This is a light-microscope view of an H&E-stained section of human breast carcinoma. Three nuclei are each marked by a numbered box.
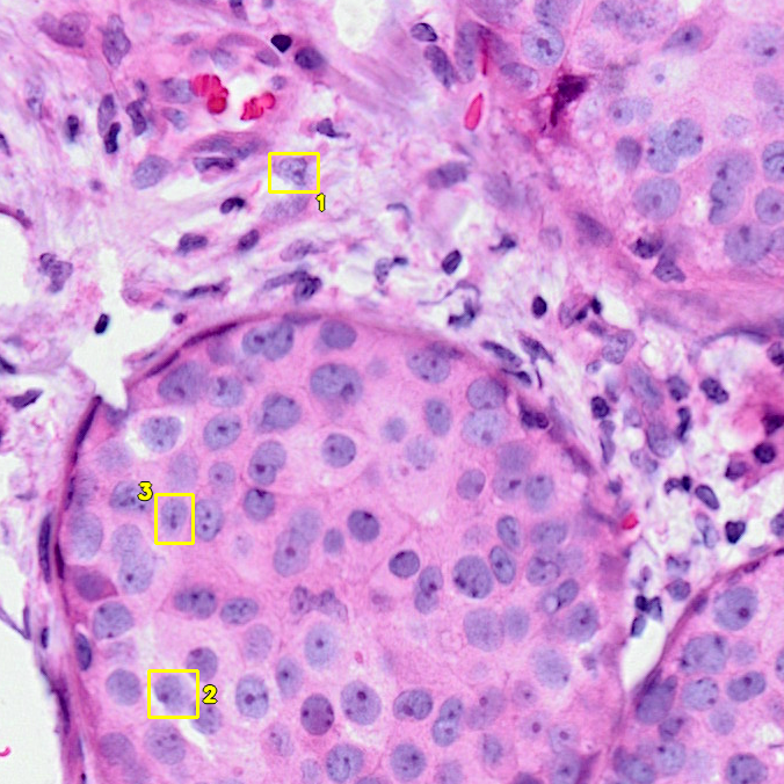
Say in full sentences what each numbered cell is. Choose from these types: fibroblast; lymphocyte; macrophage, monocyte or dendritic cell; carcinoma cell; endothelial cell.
Cell 1 is a fibroblast. Cells 2 and 3 are carcinoma cells.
